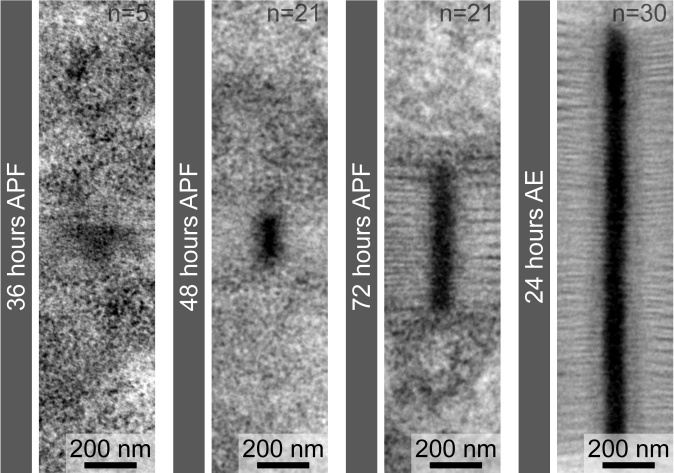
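In the leftmost image the density is faint and spread out, with no sharp edges, as diffuse Z-bodies. In the next image a small, compact dark body has formed at the centre. In the third the dark band is narrow but taller, and fine horizontal striations run out from it on either side.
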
